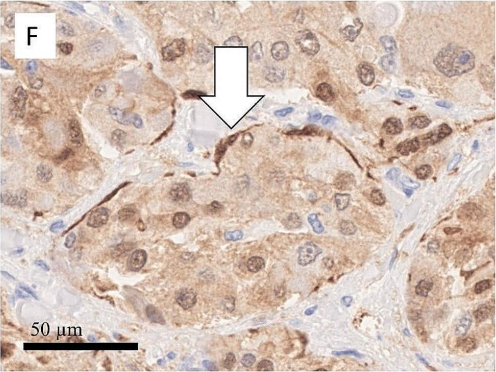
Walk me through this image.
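This is a tumor arranged in nests of large polygonal cells, separated by thin pale stroma with blue-counterstained nuclei. The tumor cells show light brown staining of cytoplasm and of many round nuclei. At the edge of a nest, a thin, elongated cell stained darker brown lies flattened against the border of the cluster. Similar dark brown slender profiles follow the margins of neighbouring nests, while the stroma between nests stays mostly unstained.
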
